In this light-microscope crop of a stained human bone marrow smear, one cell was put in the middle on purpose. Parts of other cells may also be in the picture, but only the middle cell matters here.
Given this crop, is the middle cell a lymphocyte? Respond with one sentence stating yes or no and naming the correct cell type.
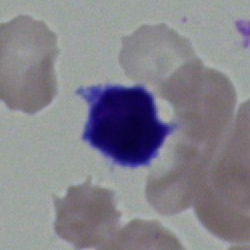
Yes, that is right: the middle cell is a lymphocyte.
